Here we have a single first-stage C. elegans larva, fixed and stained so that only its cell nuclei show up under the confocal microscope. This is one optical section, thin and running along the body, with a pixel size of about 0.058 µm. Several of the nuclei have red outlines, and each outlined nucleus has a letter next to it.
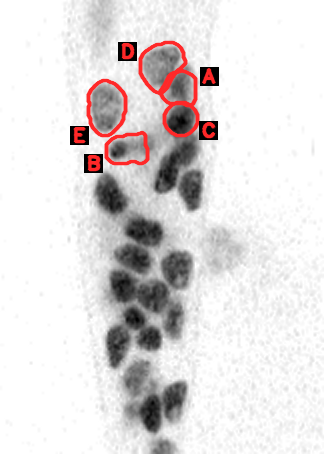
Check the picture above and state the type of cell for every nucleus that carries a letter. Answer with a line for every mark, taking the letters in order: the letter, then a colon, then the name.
A: neuron
B: valve cell of the gut
C: neuron
D: intestinal cell
E: intestinal cell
